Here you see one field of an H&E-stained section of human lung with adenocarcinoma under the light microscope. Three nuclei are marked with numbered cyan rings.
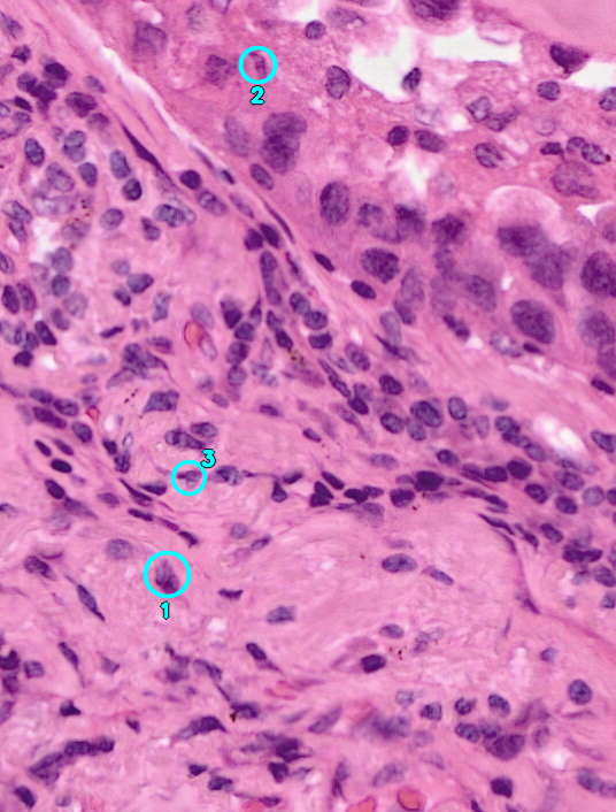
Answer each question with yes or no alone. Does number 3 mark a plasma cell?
no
